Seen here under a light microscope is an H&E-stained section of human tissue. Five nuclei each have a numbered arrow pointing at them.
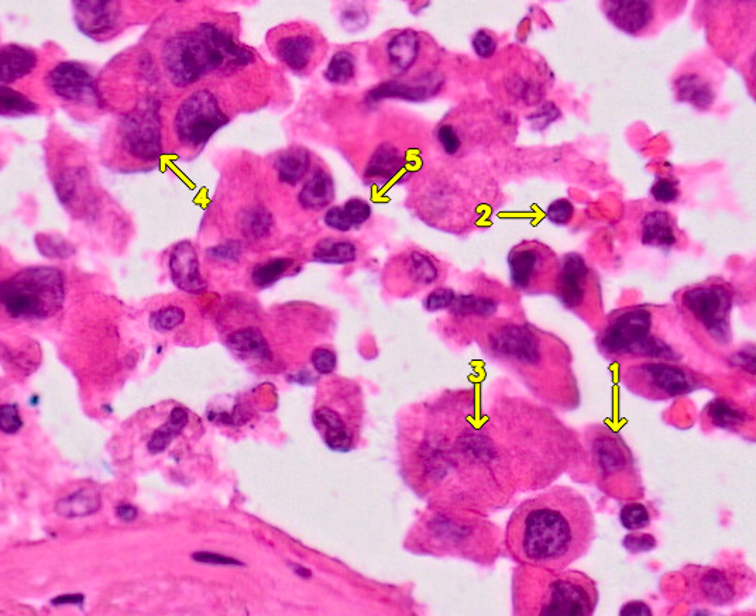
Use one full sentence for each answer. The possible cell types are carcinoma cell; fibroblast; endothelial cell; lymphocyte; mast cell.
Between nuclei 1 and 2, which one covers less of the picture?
It is nucleus 2; nucleus 1 has about 2.5 times its area.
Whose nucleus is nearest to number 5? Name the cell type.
Closest to number 5 lies the nucleus of a lymphocyte.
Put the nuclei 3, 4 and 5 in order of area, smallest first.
By area, going up from the smallest, they rank 5, 3, 4.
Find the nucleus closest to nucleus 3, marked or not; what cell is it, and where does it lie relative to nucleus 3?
The closest nucleus belongs to a carcinoma cell and sits to the left of nucleus 3.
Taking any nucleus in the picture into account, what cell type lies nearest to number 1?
It is a lymphocyte whose nucleus is nearest to number 1.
